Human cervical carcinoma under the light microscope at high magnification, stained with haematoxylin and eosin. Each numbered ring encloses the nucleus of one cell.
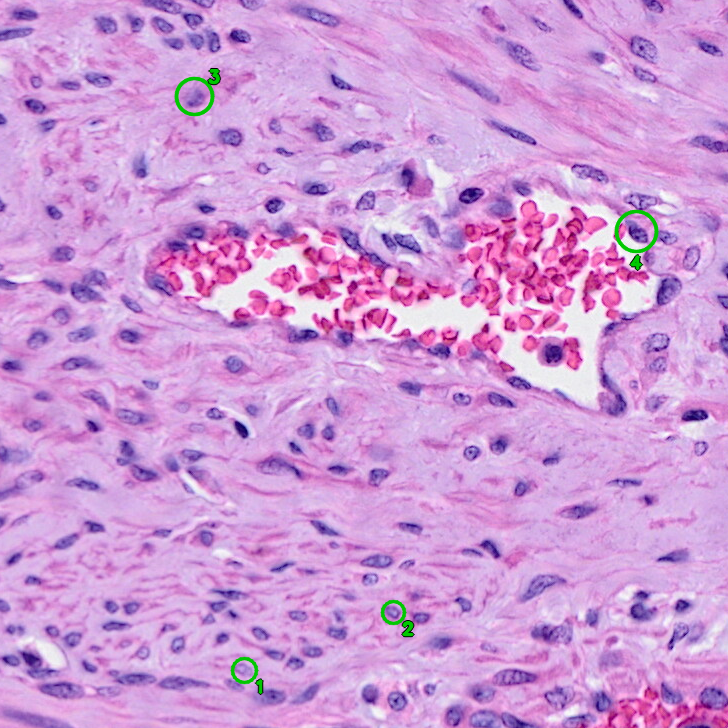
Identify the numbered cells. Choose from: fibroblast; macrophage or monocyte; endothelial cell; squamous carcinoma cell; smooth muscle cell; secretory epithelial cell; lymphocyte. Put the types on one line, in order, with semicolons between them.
smooth muscle cell; smooth muscle cell; smooth muscle cell; endothelial cell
